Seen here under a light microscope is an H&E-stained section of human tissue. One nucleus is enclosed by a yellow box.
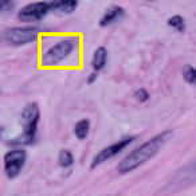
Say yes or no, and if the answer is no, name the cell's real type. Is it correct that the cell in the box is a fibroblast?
No, it is a smooth muscle cell.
